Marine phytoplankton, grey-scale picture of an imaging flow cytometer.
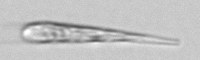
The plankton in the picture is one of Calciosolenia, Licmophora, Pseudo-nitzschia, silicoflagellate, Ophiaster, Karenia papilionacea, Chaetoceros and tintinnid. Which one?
Licmophora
